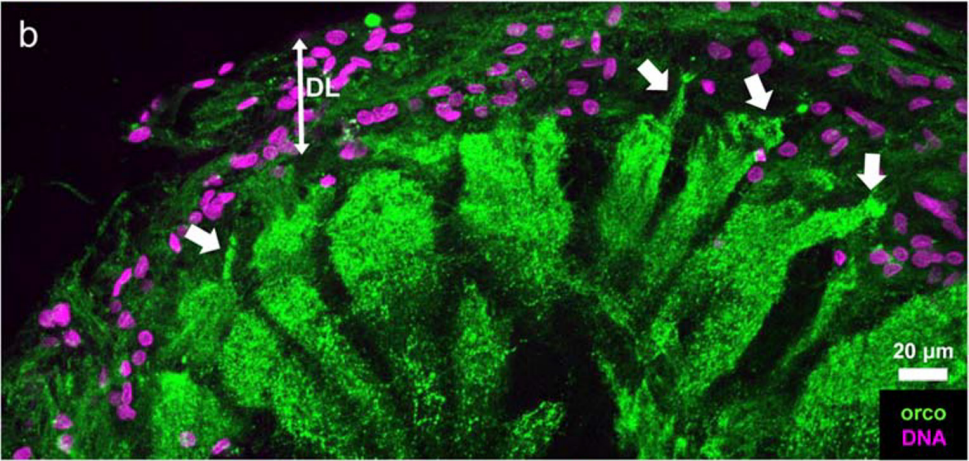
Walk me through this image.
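An outer band packed with many oval magenta nuclei overlies a row of large, elongated, wedge-shaped compartments filled with dense green granular signal, separated by dark gaps and arranged radially. At the outer caps of several compartments, irregular green extensions reach up into the nucleus-rich band. These are the glomeruli of the olfactory lobe lying beneath the cell-rich distal layer.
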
